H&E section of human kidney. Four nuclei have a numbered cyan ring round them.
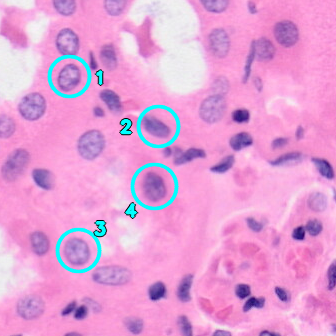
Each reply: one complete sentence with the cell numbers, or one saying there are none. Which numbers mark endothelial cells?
Of the marked cells, the one numbered 2 is an endothelial cell and the rest are not.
